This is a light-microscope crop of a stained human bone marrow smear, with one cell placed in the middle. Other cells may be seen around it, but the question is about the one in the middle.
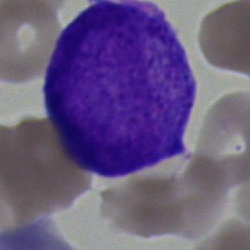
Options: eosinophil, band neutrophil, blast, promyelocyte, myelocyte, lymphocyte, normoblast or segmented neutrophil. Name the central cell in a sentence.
To answer, the cell in the center of the crop is a blast.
